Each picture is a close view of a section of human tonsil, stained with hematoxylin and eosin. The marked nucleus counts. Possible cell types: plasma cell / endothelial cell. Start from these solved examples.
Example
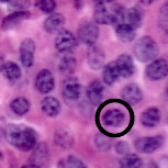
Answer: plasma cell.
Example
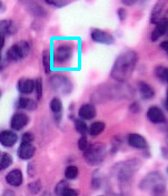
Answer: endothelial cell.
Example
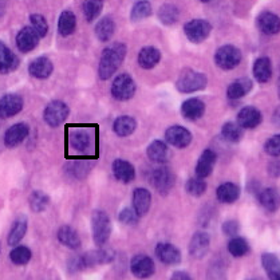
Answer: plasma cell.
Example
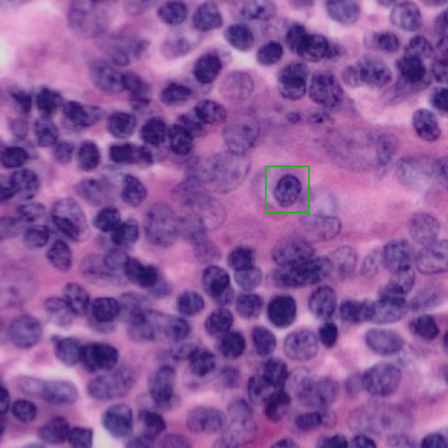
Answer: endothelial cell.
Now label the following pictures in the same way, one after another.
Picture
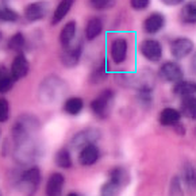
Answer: endothelial cell.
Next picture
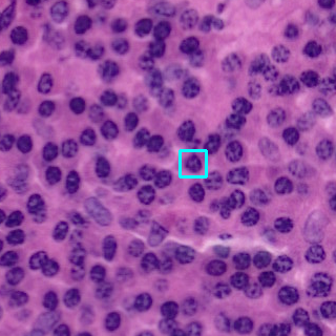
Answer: plasma cell.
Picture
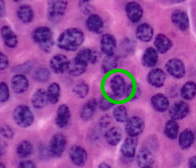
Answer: plasma cell.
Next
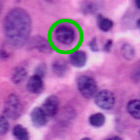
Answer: plasma cell.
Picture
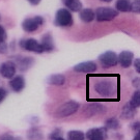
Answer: endothelial cell.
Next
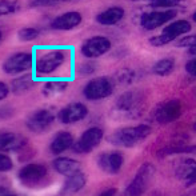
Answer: plasma cell.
